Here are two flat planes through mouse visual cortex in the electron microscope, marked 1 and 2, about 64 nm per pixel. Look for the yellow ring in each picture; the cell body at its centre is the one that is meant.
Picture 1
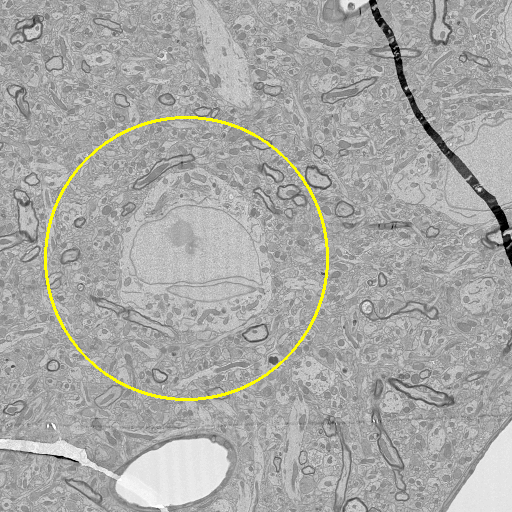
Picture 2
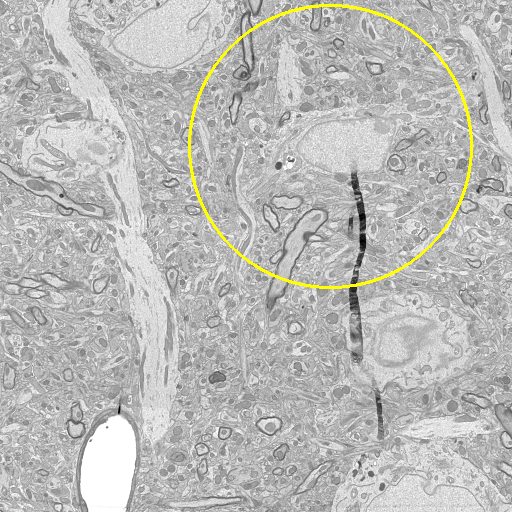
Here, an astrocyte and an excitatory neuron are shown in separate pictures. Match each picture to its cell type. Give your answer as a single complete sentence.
The cell in picture 1 is an excitatory neuron, and the one in picture 2 is an astrocyte.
